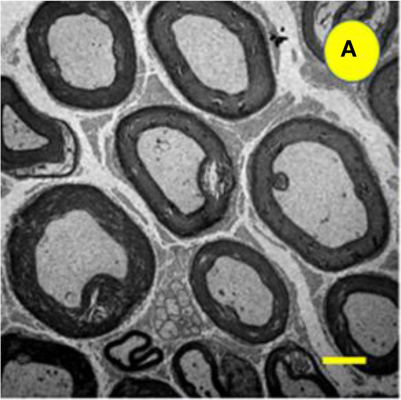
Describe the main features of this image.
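This is a cross-section of a peripheral nerve, and most of what you see are myelinated axons cut across. Each fiber shows as a thick, dark ring of myelin around a pale, finely grained axon, and the fibers are of varied sizes, mostly large with a few small ones. The fibers are packed closely, with only narrow pale spaces between them. In a few fibers the dark myelin ring folds inward into the pale core.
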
